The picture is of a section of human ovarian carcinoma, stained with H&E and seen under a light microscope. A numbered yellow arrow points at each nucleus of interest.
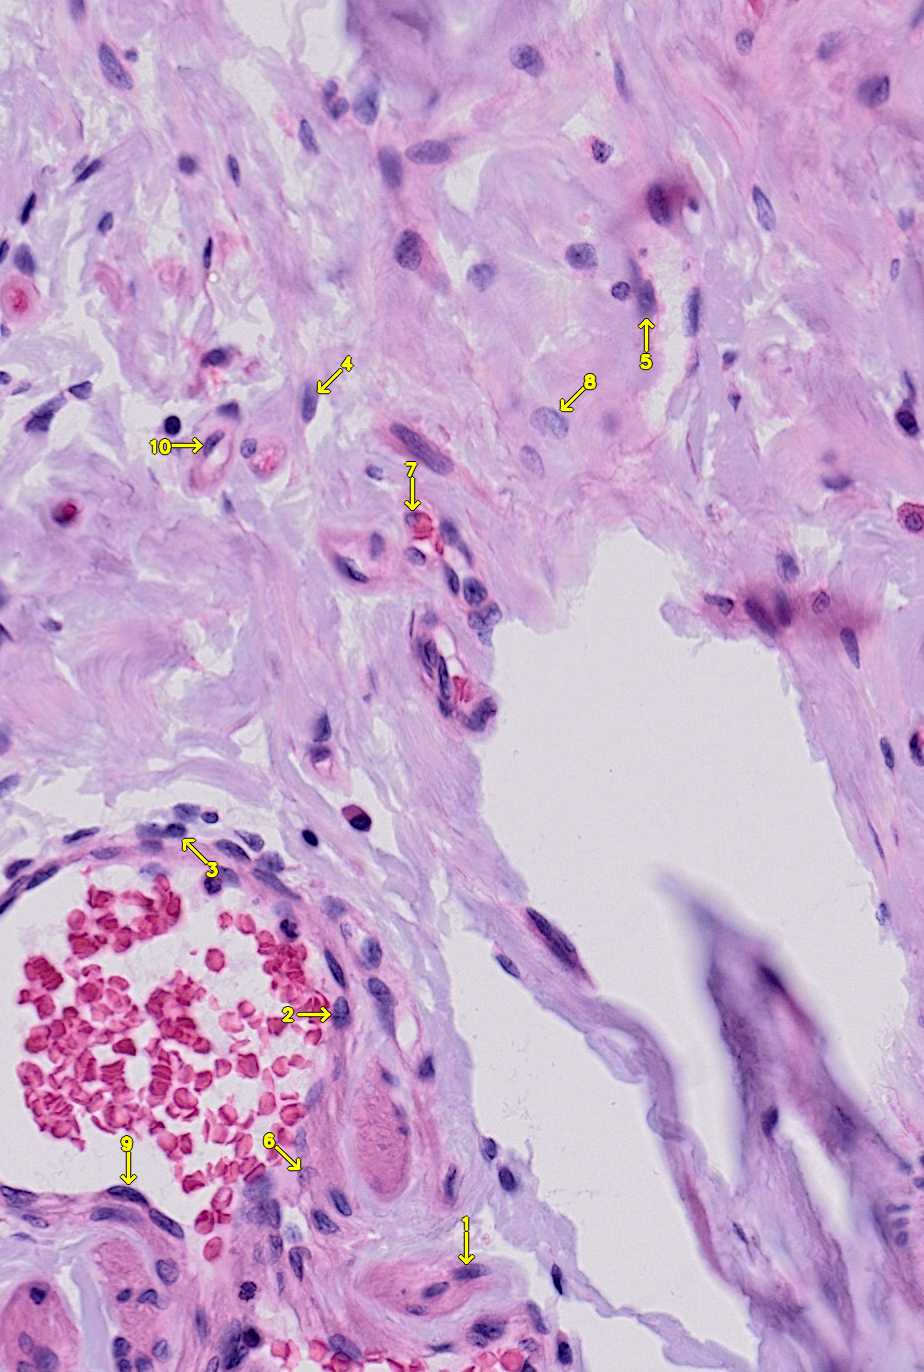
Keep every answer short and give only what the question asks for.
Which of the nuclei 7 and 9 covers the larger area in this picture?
9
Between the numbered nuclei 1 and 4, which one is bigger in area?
4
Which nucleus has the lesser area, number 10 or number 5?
10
